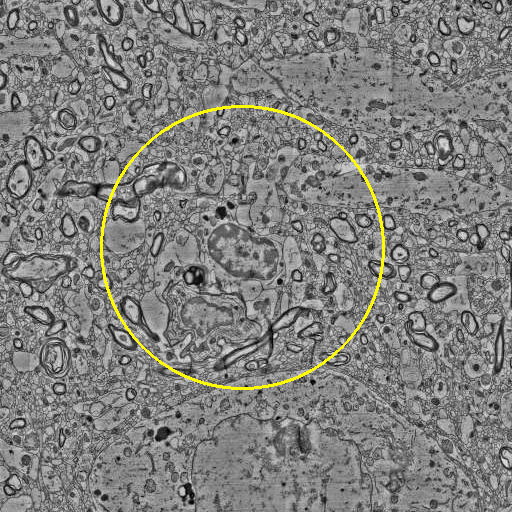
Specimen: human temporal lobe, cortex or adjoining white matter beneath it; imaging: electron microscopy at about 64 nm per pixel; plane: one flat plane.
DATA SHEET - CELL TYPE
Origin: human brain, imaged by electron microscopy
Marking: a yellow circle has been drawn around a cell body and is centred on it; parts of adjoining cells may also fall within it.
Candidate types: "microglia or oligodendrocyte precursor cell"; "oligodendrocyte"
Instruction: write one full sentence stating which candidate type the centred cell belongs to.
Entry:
The cell body at the centre of the yellow ring in this micrograph belongs to a microglial cell or oligodendrocyte precursor cell.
